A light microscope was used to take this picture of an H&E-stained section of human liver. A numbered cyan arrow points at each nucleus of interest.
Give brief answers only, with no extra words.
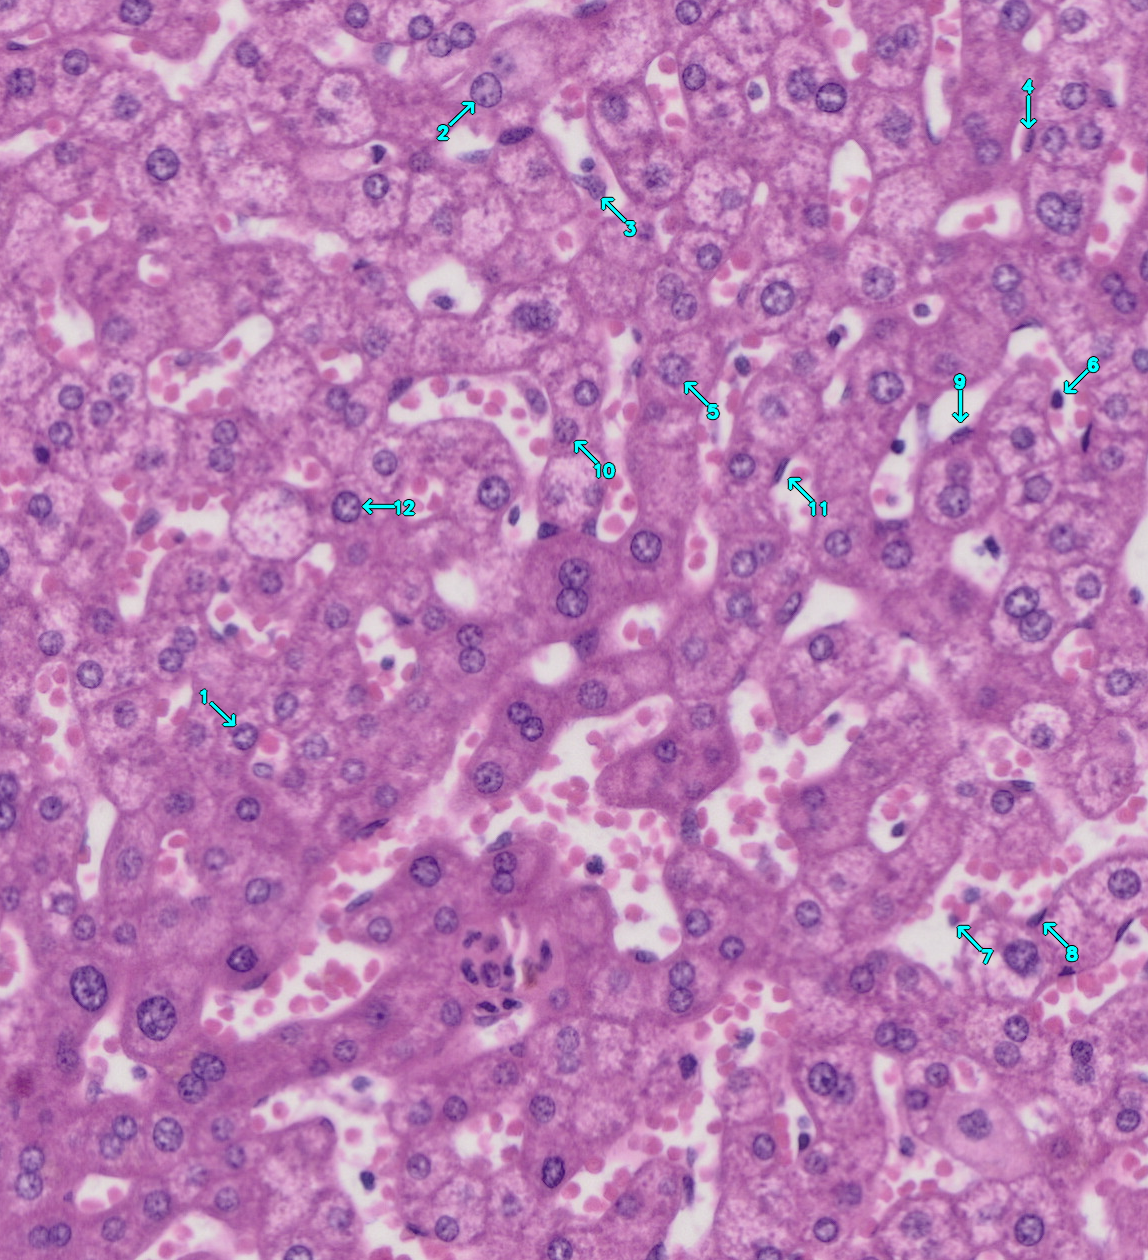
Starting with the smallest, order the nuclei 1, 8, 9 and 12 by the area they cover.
8, 9, 1, 12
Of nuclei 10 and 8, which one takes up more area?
10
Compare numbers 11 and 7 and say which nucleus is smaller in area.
7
